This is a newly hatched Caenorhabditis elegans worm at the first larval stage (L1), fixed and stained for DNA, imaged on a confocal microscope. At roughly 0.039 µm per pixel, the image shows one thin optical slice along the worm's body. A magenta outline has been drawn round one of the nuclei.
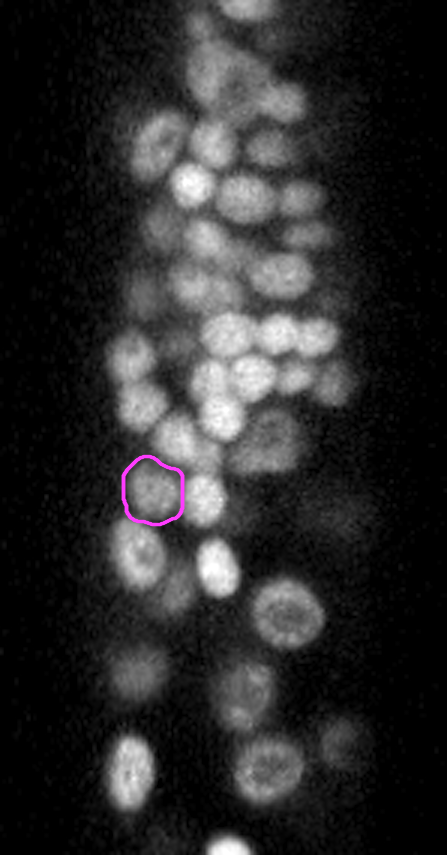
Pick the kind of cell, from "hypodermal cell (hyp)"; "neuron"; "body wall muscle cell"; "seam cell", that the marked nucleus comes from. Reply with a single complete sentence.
The nucleus comes from a neuron.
